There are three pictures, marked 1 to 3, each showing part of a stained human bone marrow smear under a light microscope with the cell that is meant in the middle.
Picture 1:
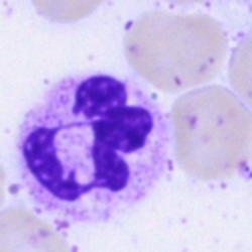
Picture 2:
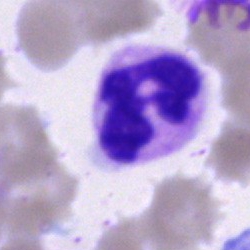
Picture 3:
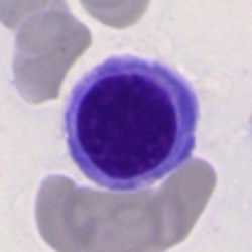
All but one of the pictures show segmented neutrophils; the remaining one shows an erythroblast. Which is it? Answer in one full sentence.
The picture with the erythroblast is 3.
